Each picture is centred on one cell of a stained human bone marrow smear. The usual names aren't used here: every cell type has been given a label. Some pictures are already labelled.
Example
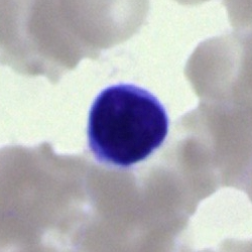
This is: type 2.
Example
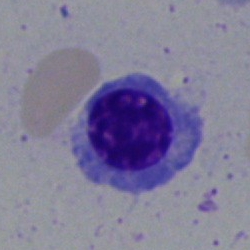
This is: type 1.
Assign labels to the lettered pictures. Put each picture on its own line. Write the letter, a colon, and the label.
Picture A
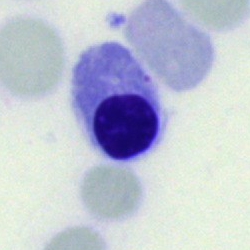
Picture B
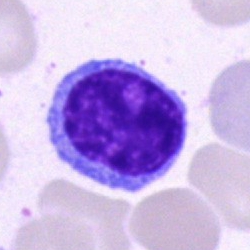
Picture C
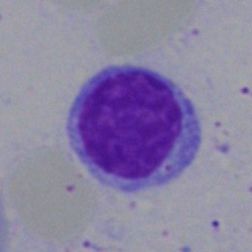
A: type 1.
B: type 2.
C: type 2.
